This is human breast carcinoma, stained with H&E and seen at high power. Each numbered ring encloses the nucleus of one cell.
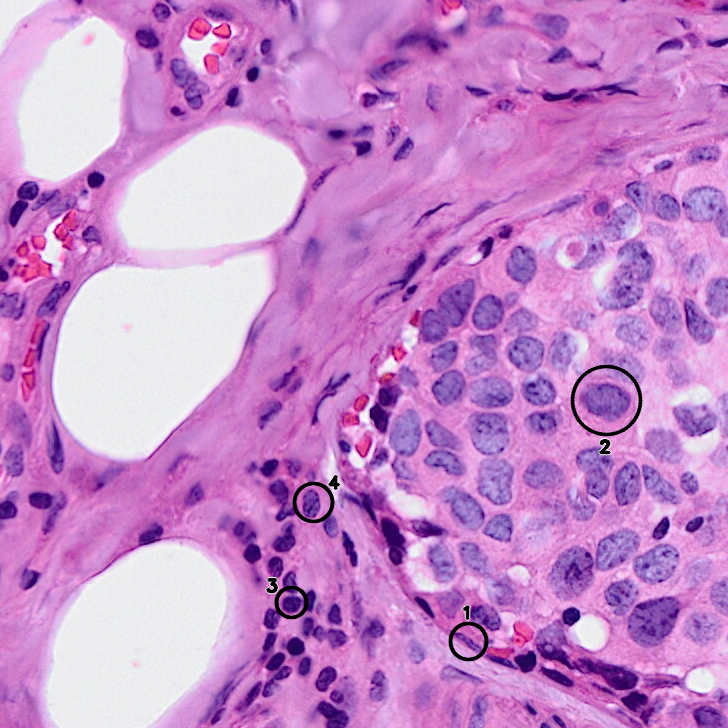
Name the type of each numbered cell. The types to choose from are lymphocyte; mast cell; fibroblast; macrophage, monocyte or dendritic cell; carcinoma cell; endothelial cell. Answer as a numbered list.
1. endothelial cell
2. carcinoma cell
3. lymphocyte
4. mast cell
